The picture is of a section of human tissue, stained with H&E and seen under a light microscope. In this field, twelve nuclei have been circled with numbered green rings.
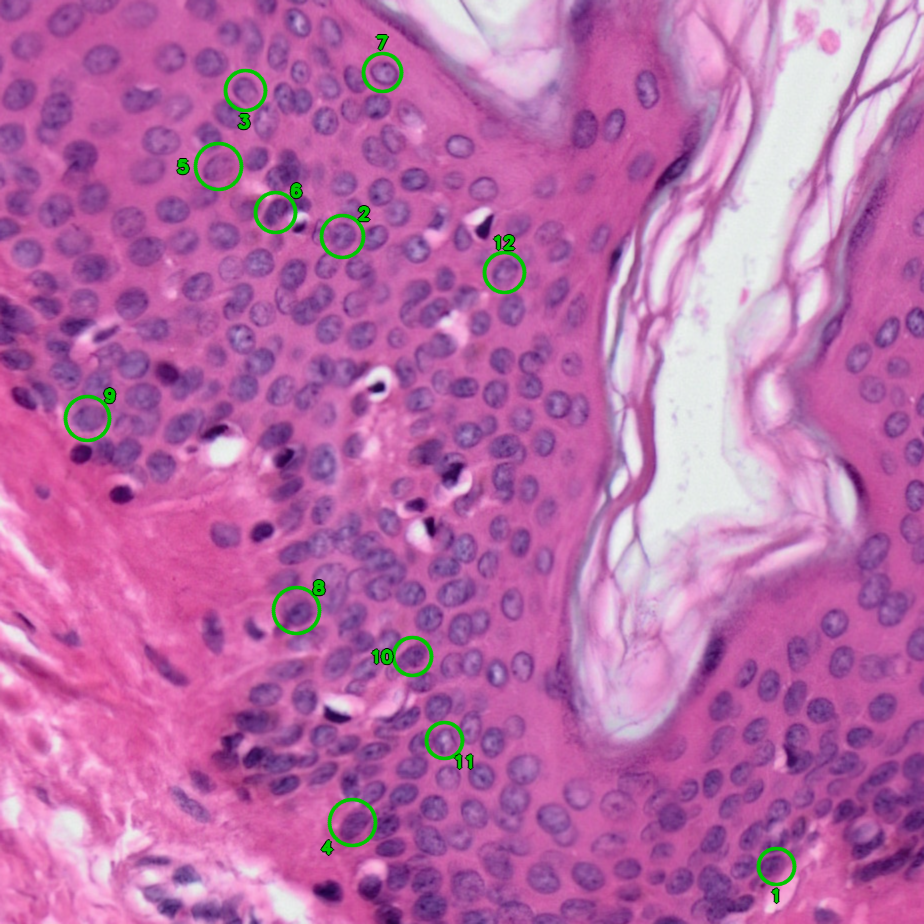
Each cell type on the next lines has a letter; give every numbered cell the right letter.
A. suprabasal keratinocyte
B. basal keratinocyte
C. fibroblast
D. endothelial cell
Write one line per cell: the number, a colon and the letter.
1: B
2: A
3: A
4: B
5: A
6: B
7: A
8: B
9: B
10: B
11: A
12: A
